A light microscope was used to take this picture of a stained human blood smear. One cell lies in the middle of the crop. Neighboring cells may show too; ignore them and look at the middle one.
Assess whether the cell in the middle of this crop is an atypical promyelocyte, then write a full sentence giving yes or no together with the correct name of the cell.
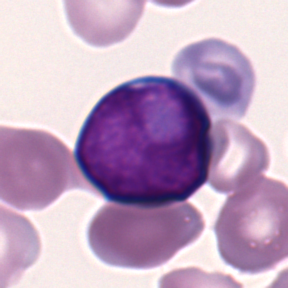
No, the cell sitting in the middle is a myeloblast, and it is not an atypical promyelocyte.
